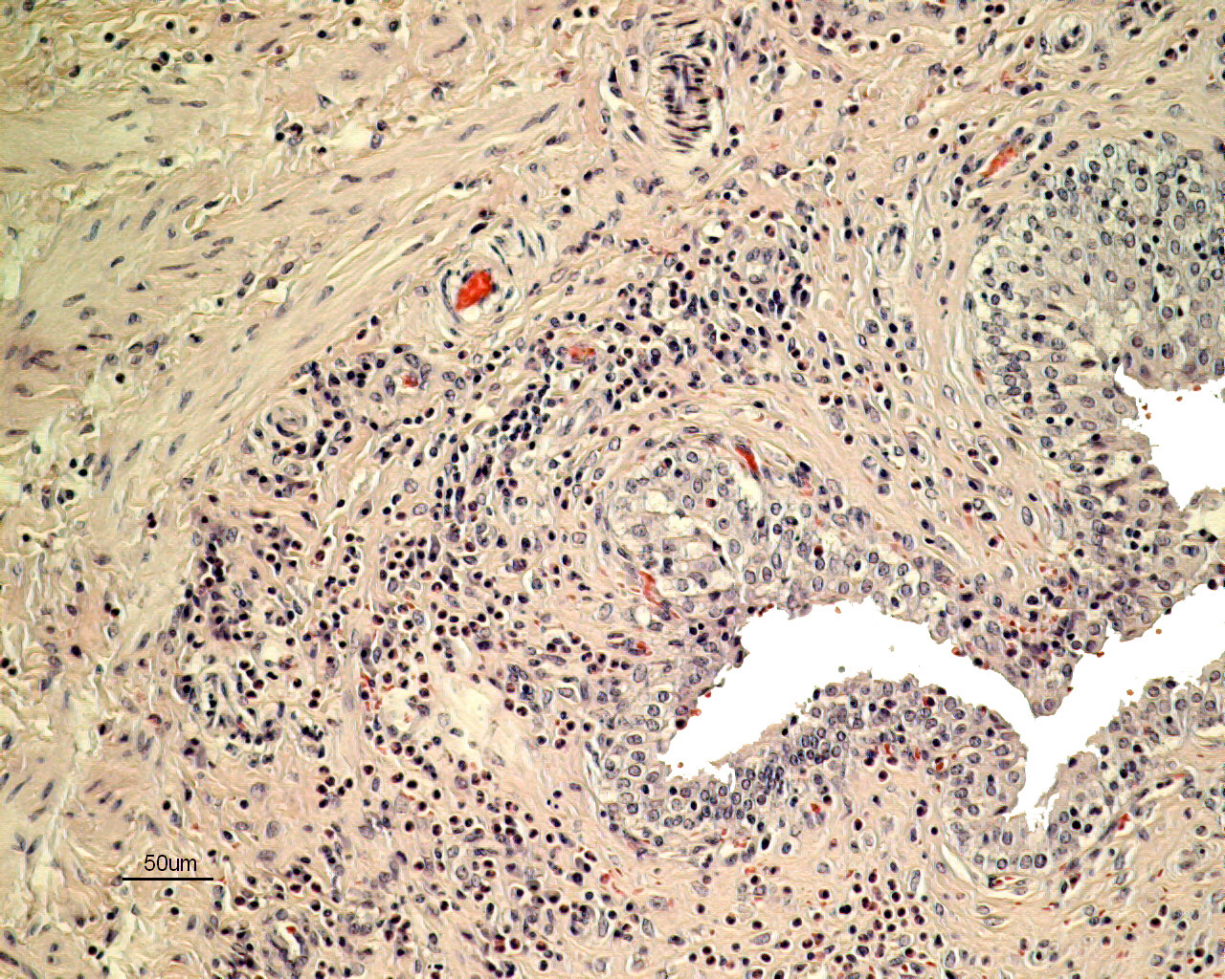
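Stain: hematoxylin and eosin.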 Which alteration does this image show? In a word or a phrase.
Severe inflammatory infiltration.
